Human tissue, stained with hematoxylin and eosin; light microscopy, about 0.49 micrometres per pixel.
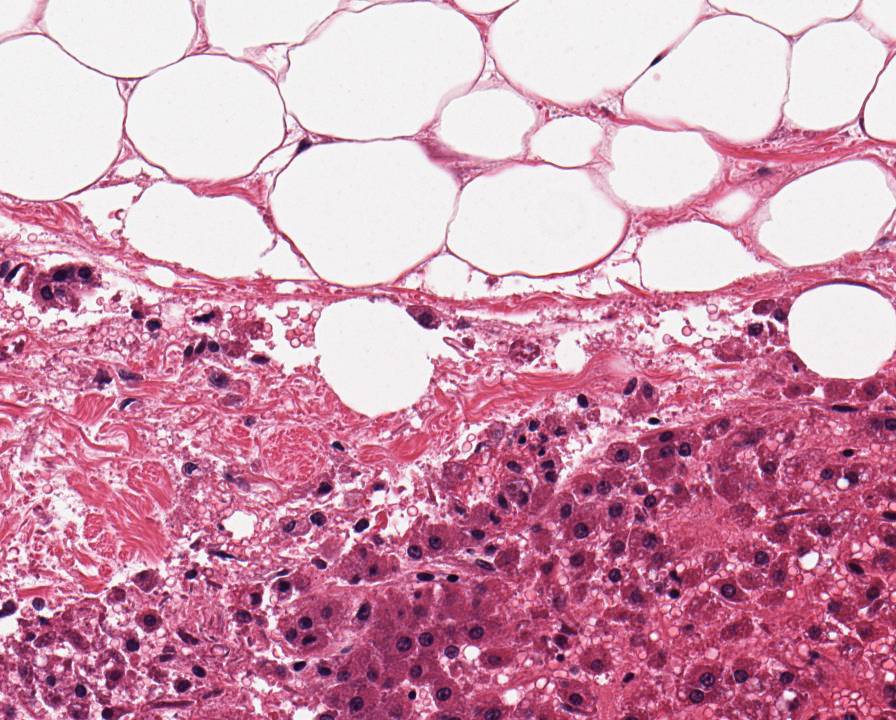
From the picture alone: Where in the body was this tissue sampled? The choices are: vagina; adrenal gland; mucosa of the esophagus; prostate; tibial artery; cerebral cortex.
adrenal gland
